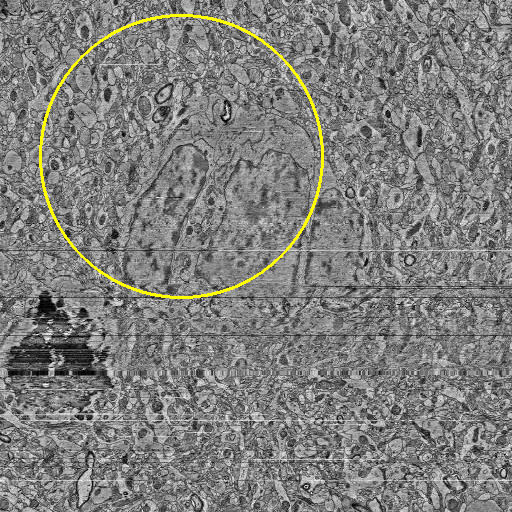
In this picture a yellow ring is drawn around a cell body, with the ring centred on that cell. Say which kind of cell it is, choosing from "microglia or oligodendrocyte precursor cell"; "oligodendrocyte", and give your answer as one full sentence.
Here it is a microglial cell or oligodendrocyte precursor cell that sits at the centre of the drawn yellow ring.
